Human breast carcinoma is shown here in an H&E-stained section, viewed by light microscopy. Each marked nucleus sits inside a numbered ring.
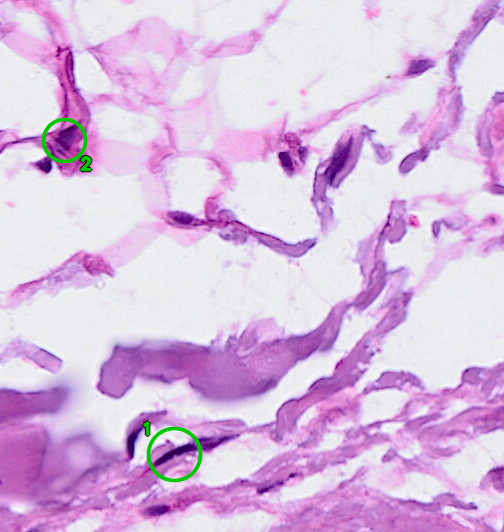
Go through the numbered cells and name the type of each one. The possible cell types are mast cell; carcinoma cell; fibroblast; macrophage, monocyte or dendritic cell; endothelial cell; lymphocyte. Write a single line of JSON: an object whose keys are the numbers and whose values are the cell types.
{"1": "fibroblast", "2": "endothelial cell"}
